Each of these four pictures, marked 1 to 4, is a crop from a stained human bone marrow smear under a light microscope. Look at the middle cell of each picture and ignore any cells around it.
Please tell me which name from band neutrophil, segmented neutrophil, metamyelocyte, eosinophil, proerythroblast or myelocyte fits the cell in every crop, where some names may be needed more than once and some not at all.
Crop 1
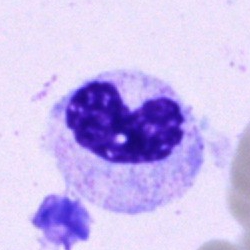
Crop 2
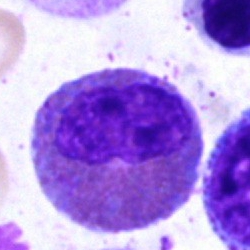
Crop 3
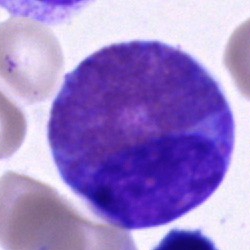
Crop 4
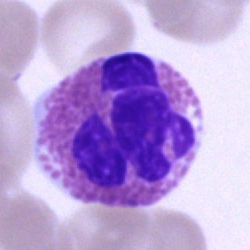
1: band neutrophil
2: eosinophil
3: eosinophil
4: eosinophil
